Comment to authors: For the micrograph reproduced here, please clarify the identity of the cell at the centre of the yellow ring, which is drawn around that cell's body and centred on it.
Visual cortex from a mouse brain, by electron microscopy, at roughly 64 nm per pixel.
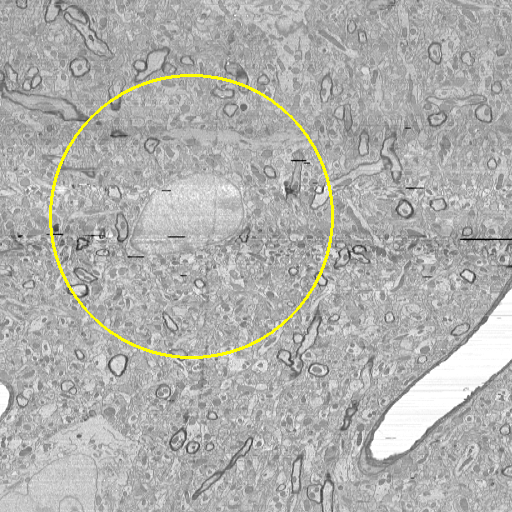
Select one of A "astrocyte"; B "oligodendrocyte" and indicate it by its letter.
A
